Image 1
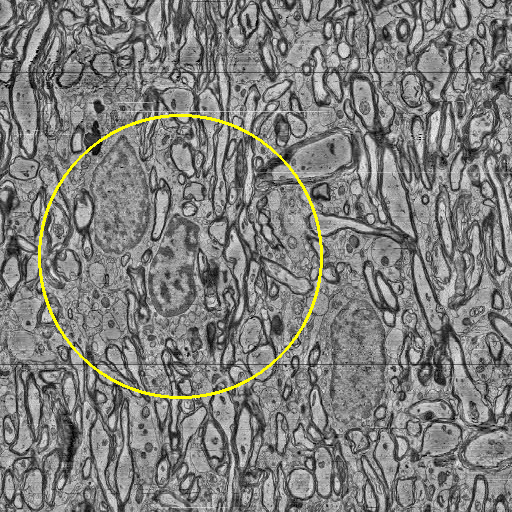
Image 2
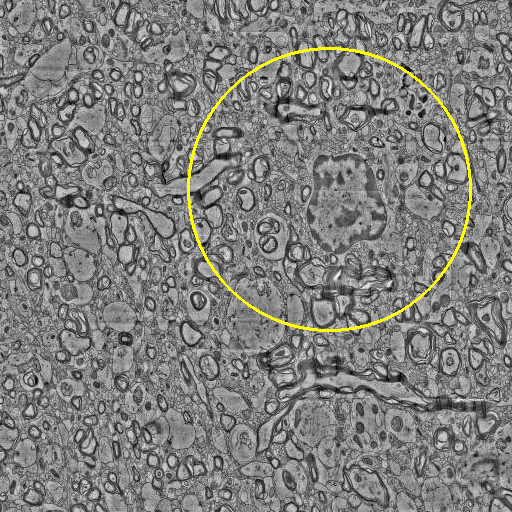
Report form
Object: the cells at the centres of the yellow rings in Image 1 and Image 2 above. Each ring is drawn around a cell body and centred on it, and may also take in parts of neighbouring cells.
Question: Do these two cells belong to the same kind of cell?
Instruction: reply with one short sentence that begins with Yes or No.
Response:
Yes, both belong to the same kind of cell.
